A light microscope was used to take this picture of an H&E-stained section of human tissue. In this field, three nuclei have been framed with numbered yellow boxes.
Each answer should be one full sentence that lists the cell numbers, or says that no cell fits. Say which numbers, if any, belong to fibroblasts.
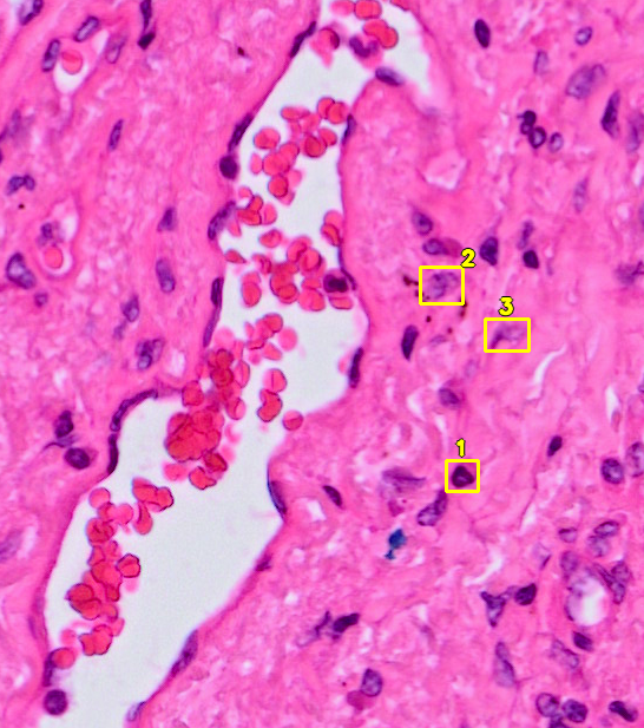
Within this tissue, the cells numbered 2 and 3 are fibroblasts.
